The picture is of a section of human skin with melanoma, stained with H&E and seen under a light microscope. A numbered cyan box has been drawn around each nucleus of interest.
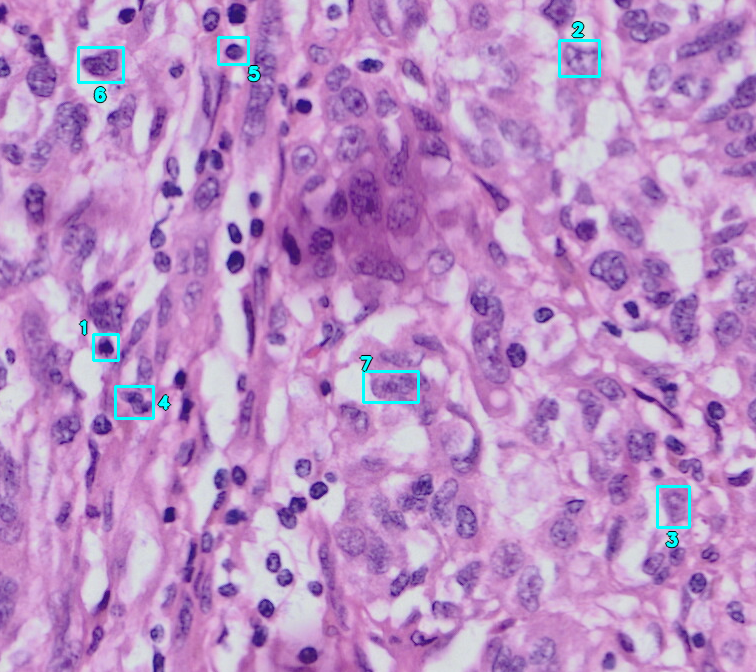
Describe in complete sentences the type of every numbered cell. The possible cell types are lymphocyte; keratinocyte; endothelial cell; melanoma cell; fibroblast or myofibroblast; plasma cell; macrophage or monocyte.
Cells 1, 4 and 5 are lymphocytes. Cells 2, 3, 6 and 7 are melanoma cells.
